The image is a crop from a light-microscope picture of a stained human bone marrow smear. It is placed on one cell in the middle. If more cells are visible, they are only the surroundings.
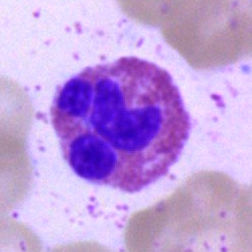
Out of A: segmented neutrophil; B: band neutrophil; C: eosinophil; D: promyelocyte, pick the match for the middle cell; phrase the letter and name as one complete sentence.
This one is option C, since the cell at the center is an eosinophil.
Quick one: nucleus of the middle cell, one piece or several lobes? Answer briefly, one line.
Rather than a single mass, the nucleus forms two or more lobes.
